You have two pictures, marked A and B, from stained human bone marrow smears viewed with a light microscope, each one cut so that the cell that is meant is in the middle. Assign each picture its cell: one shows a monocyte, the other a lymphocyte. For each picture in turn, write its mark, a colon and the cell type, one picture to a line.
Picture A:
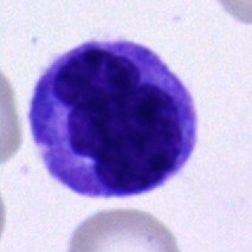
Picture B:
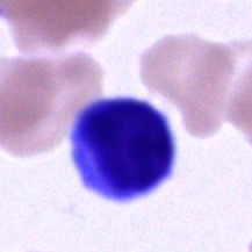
A: monocyte
B: lymphocyte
